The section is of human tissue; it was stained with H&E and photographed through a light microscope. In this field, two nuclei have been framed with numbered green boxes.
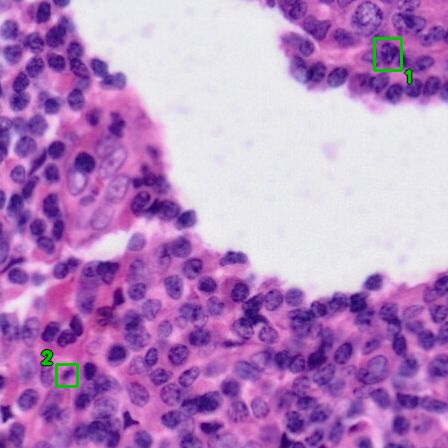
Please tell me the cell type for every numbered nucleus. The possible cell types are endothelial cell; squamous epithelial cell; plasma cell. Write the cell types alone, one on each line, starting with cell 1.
plasma cell
endothelial cell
